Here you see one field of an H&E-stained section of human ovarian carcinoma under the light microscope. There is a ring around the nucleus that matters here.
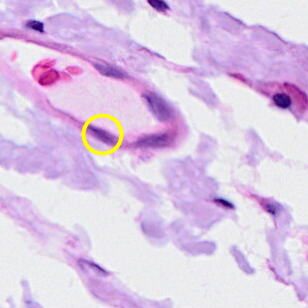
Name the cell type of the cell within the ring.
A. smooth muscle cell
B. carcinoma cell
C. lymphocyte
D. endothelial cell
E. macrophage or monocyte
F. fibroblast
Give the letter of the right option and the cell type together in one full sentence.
Option D is the correct one, since the cell within the ring is an endothelial cell.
